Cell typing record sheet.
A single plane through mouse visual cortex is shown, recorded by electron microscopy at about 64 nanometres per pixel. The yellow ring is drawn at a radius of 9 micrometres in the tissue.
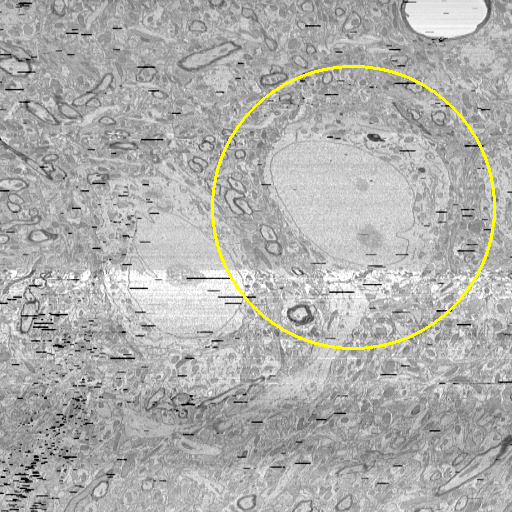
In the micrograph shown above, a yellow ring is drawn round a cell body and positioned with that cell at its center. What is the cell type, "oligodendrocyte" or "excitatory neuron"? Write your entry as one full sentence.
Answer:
The cell body at the center of the ring belongs to an excitatory neuron.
